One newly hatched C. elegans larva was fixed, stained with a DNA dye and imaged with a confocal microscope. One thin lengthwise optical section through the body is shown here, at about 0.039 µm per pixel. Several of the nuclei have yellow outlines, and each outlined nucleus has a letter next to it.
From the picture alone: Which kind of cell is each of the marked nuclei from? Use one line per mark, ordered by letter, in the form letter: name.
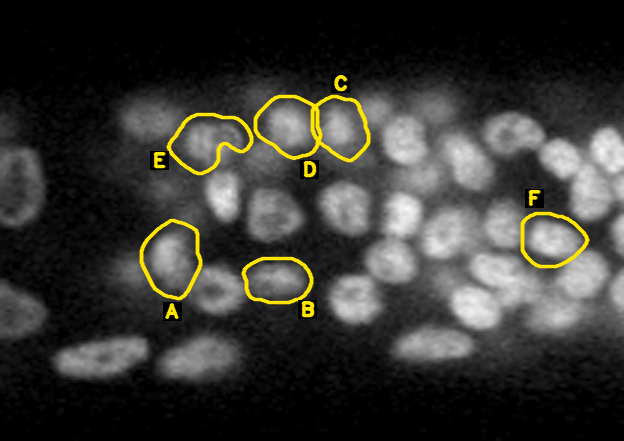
A: valve cell of the gut
B: pharyngeal marginal cell
C: neuron
D: neuron
E: body wall muscle cell
F: neuron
